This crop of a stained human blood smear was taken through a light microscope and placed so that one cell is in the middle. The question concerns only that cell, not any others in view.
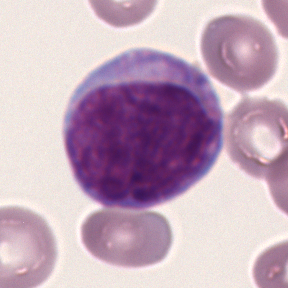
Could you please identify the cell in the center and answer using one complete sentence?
The cell centred in this crop is categorized as an atypical promyelocyte.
